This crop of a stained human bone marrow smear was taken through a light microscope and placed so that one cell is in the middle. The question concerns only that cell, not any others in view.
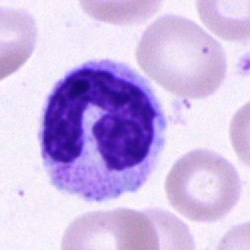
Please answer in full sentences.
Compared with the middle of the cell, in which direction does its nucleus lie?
Seen from the middle of the cell, the nucleus lies toward the top.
